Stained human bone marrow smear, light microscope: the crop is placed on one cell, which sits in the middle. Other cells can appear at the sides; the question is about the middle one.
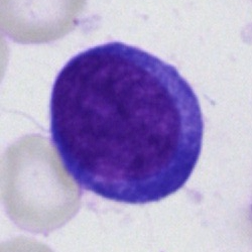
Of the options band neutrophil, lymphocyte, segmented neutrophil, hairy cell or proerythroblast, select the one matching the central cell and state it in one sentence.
The cell in the middle of this crop is a proerythroblast.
